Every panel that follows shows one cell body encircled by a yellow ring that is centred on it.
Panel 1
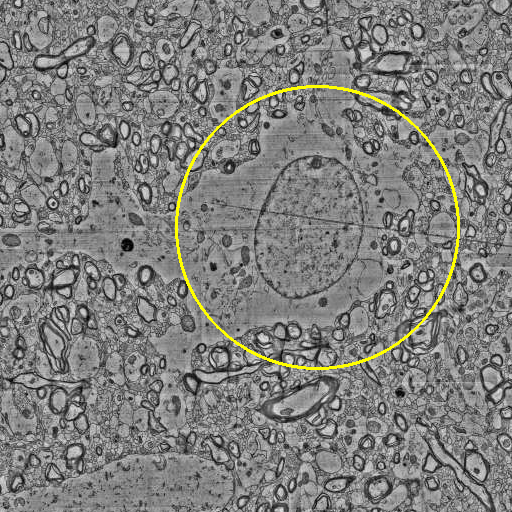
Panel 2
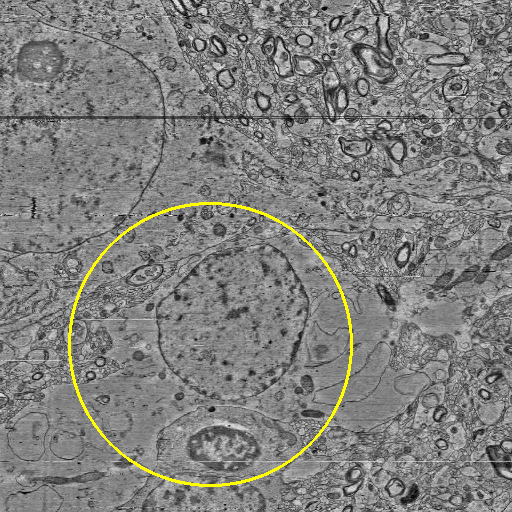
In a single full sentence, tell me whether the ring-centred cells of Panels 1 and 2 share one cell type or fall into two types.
In Panel 1 and Panel 2, the cells at the ring centres share one cell type.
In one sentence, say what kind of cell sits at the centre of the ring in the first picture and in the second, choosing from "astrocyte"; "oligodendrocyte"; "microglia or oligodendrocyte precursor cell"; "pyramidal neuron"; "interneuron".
Each one of the two ringed cells is an astrocyte.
